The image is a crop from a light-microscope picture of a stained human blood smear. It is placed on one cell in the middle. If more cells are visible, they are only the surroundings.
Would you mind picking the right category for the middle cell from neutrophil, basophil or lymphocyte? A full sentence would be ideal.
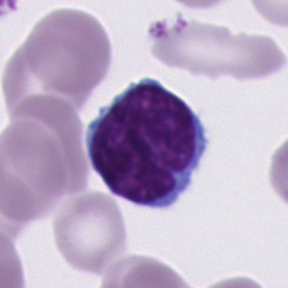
The cell at the centre of the field is a lymphocyte.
